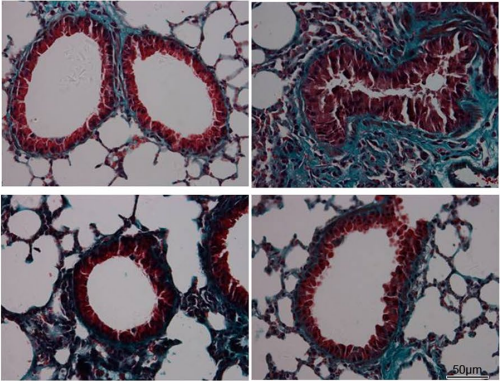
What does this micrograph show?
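These are small airways of the lung, each cut across and lined by a single layer of columnar epithelial cells that stain dark red. Around the epithelium lies a rim of blue-green fibrous tissue, and beyond it the thin walls of the neighbouring air spaces. In most images this blue-green rim is narrow and the lumen is round. In one image the airway lumen is folded and the blue-green tissue around it is much thicker, spreading into the surrounding wall, a picture of a remodeled airway.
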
